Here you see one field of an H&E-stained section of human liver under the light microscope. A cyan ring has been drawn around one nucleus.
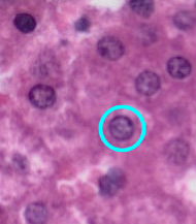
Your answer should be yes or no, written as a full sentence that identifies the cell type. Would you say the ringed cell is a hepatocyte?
Yes, the naming of the ringed cell as a hepatocyte is correct.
